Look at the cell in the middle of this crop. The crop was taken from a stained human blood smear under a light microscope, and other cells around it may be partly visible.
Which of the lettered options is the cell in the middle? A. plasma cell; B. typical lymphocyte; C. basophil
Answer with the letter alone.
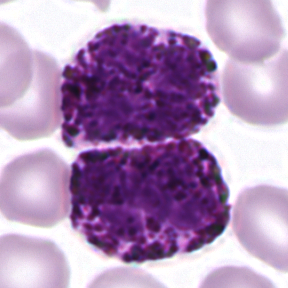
C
